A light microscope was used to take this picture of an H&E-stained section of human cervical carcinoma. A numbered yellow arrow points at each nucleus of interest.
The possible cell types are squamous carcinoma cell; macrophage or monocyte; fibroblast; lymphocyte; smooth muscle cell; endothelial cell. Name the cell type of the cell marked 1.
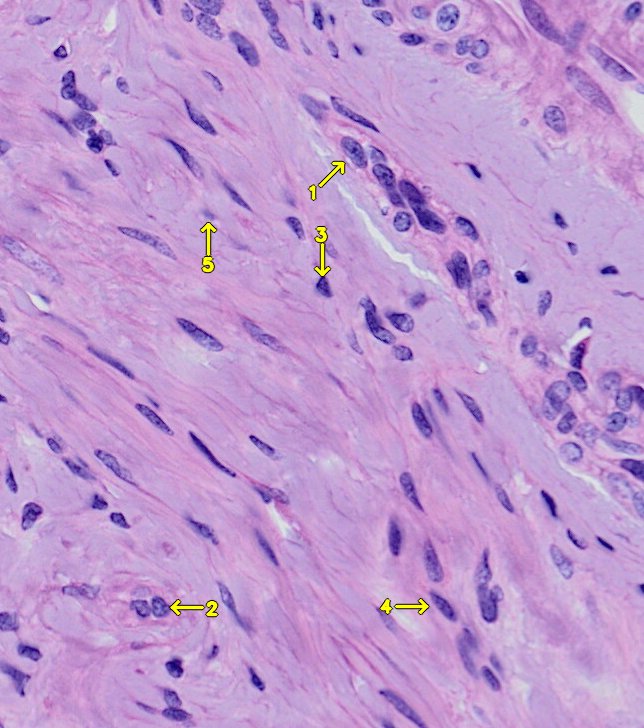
endothelial cell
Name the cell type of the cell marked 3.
fibroblast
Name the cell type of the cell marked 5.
fibroblast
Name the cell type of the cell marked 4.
fibroblast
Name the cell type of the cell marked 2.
endothelial cell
